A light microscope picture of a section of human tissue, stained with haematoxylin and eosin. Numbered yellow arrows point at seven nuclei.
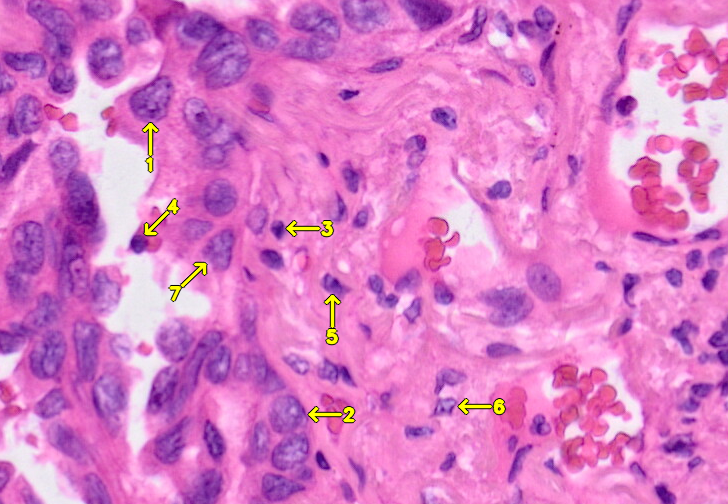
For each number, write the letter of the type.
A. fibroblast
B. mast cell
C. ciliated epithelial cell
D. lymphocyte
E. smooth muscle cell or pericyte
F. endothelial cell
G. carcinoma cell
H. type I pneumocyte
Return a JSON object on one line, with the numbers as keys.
{"1": "G", "2": "G", "3": "D", "4": "D", "5": "D", "6": "A", "7": "G"}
